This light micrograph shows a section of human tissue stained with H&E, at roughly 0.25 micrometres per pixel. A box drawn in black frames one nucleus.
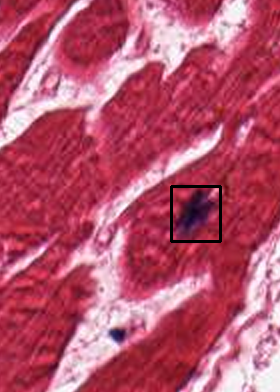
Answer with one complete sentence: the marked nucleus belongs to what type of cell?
It is to a cardiomyocyte that the marked nucleus belongs.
